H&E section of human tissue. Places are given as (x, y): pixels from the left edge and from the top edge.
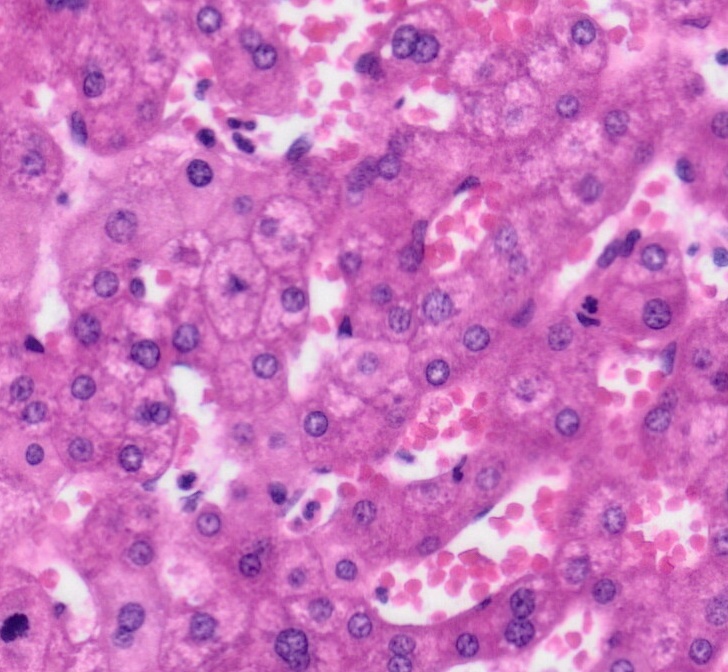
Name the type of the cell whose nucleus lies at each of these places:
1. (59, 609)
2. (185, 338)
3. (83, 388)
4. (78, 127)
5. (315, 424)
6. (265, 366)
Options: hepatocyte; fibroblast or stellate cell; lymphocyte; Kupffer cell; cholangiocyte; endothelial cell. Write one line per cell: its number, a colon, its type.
1: Kupffer cell
2: hepatocyte
3: hepatocyte
4: Kupffer cell
5: hepatocyte
6: hepatocyte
